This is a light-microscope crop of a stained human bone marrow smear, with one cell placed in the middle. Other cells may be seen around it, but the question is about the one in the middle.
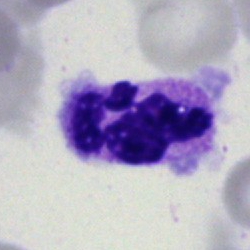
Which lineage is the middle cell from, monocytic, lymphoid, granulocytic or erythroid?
granulocytic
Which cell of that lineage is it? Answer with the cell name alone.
segmented neutrophil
